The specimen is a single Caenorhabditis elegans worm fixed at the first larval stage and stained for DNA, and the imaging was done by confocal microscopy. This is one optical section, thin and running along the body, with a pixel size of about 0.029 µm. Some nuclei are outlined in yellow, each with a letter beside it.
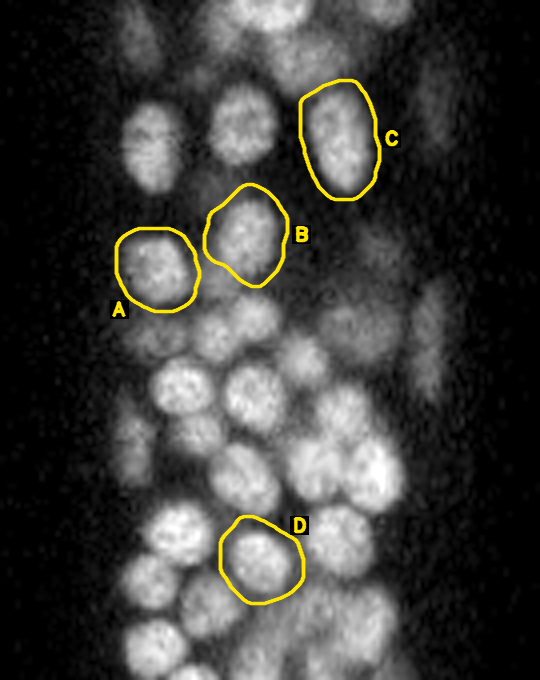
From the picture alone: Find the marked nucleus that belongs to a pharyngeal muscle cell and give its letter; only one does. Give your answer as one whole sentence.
Nucleus B belongs to a pharyngeal muscle cell.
